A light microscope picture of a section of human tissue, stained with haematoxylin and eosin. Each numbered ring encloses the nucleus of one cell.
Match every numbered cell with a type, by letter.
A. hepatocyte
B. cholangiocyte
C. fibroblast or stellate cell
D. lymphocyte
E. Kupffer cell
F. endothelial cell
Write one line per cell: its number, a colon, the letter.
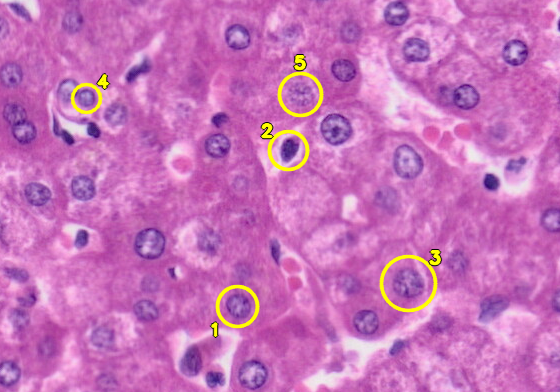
1: A
2: D
3: A
4: B
5: A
